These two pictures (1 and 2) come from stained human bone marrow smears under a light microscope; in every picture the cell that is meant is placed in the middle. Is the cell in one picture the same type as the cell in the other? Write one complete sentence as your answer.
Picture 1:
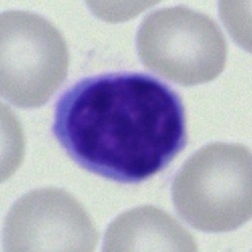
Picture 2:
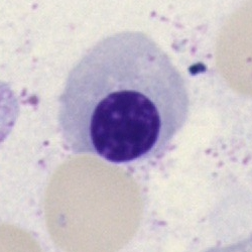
No, the types are not the same, since picture 1 shows a lymphocyte and picture 2 an erythroblast.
